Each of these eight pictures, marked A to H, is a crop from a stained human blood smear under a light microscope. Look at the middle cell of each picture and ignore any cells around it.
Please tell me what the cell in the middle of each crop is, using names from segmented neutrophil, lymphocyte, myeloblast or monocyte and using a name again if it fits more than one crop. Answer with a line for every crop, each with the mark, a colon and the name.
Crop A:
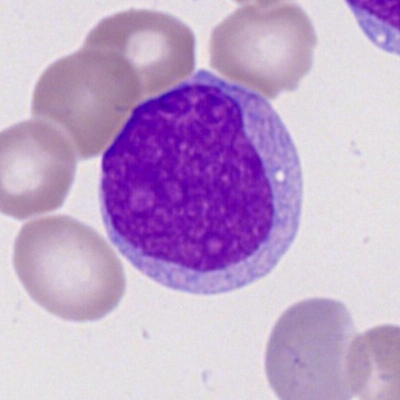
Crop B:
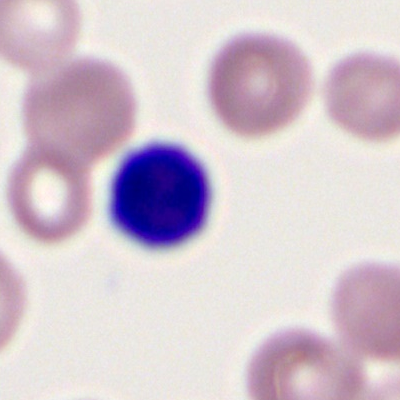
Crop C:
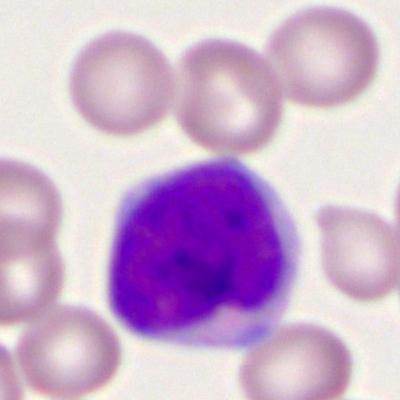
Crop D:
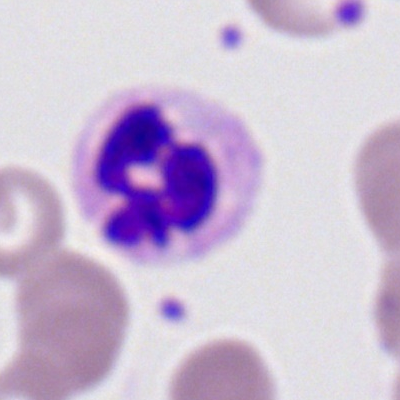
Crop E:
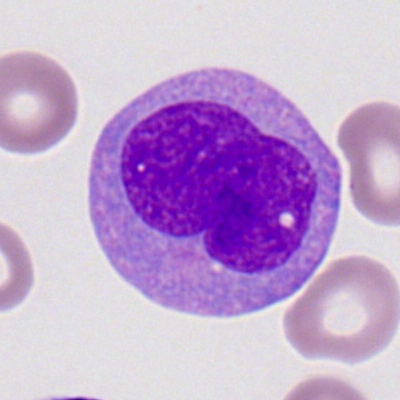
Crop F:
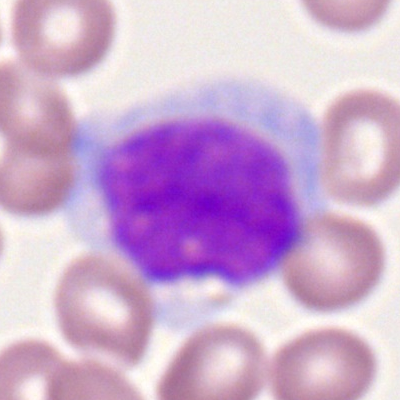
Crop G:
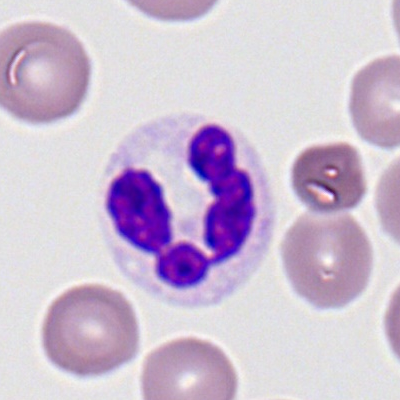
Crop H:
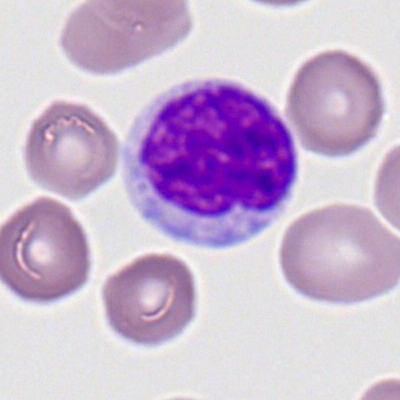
A: myeloblast
B: lymphocyte
C: myeloblast
D: segmented neutrophil
E: myeloblast
F: monocyte
G: segmented neutrophil
H: lymphocyte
